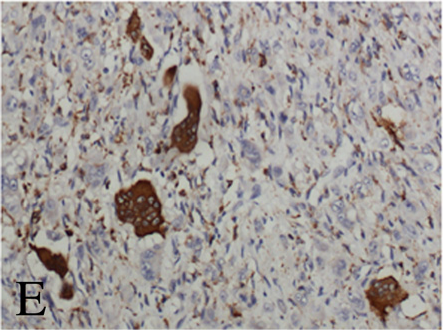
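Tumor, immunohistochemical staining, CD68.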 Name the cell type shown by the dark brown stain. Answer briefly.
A: Osteoclast-like giant cells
